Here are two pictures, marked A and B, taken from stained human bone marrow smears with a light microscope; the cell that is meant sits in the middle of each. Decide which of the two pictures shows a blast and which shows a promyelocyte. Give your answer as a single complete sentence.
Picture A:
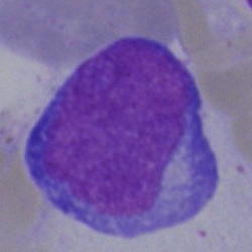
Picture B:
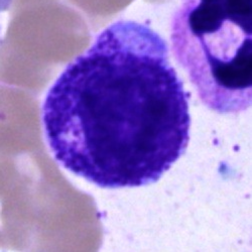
The cell in picture A is a blast, and the one in picture B is a promyelocyte.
